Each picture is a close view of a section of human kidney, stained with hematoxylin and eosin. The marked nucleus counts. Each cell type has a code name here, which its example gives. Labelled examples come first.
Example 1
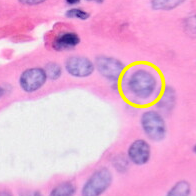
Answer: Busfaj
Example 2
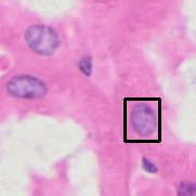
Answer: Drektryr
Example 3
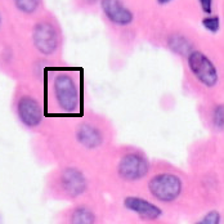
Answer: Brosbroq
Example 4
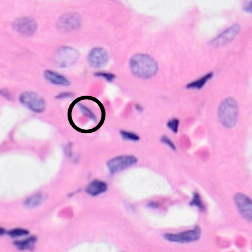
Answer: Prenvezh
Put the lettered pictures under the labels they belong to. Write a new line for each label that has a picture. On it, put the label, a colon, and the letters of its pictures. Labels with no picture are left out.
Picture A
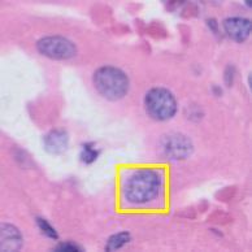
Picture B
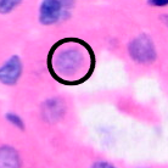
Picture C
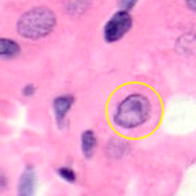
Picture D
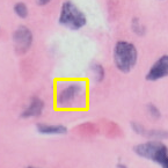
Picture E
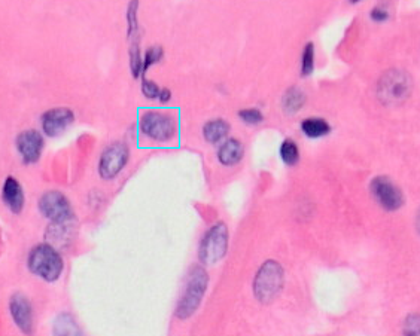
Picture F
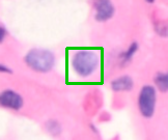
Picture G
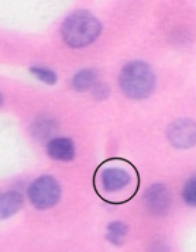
Busfaj: E
Drektryr: C
Brosbroq: A, B, D, F
Prenvezh: G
